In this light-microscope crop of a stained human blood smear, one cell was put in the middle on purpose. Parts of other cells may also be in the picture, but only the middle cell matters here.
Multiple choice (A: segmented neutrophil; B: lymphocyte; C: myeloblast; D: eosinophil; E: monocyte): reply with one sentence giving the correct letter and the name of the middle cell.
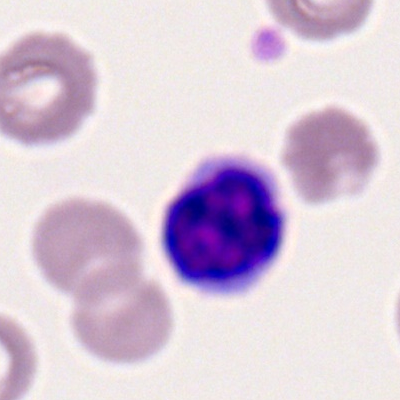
The cell in the centre of the crop is a lymphocyte, so option B is the correct one.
